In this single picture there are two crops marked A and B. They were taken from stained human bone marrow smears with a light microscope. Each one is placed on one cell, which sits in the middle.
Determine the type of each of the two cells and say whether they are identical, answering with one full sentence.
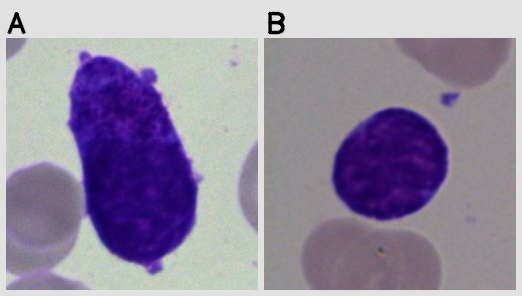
Yes, both crops alike show blasts at the centre.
